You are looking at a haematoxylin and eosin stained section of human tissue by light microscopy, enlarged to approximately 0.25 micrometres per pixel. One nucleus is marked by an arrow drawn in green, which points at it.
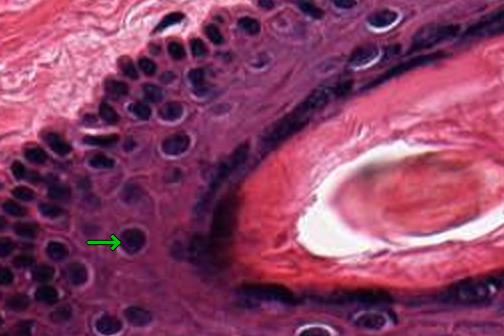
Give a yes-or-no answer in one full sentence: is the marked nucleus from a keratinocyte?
Yes, the marked nucleus belongs to a keratinocyte in this field.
